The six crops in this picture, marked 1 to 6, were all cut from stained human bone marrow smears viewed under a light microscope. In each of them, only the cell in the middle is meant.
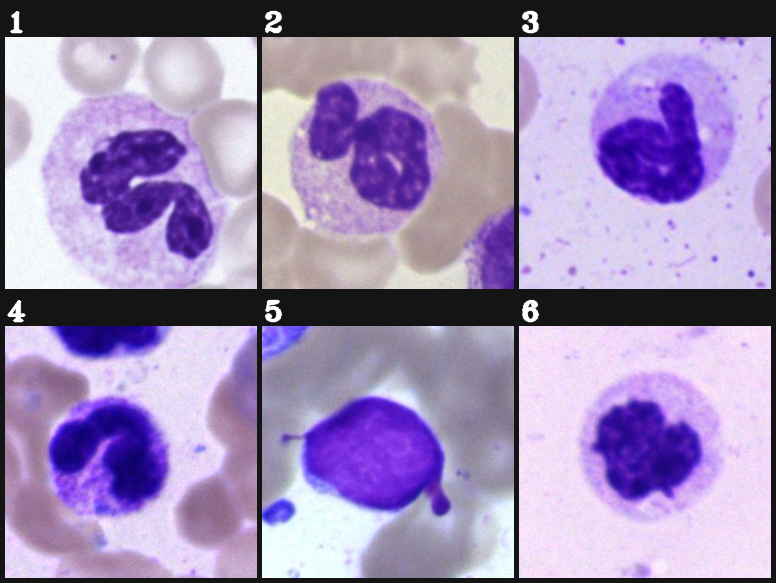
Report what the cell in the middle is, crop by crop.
1: segmented neutrophil
2: segmented neutrophil
3: segmented neutrophil
4: segmented neutrophil
5: blast
6: segmented neutrophil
